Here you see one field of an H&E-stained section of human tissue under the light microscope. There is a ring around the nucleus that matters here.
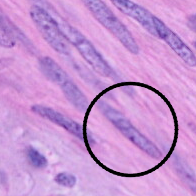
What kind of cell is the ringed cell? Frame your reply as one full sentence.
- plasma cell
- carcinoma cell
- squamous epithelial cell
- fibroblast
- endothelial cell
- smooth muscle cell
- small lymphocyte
As far as its identity is concerned, the ringed cell is a smooth muscle cell.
